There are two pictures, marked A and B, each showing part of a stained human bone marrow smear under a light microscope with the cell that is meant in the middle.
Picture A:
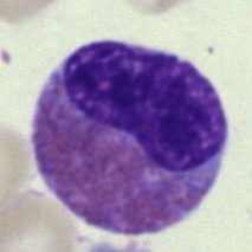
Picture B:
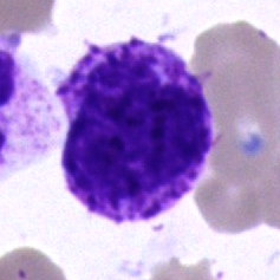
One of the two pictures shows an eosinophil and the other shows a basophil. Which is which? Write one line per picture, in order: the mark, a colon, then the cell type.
A: eosinophil
B: basophil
